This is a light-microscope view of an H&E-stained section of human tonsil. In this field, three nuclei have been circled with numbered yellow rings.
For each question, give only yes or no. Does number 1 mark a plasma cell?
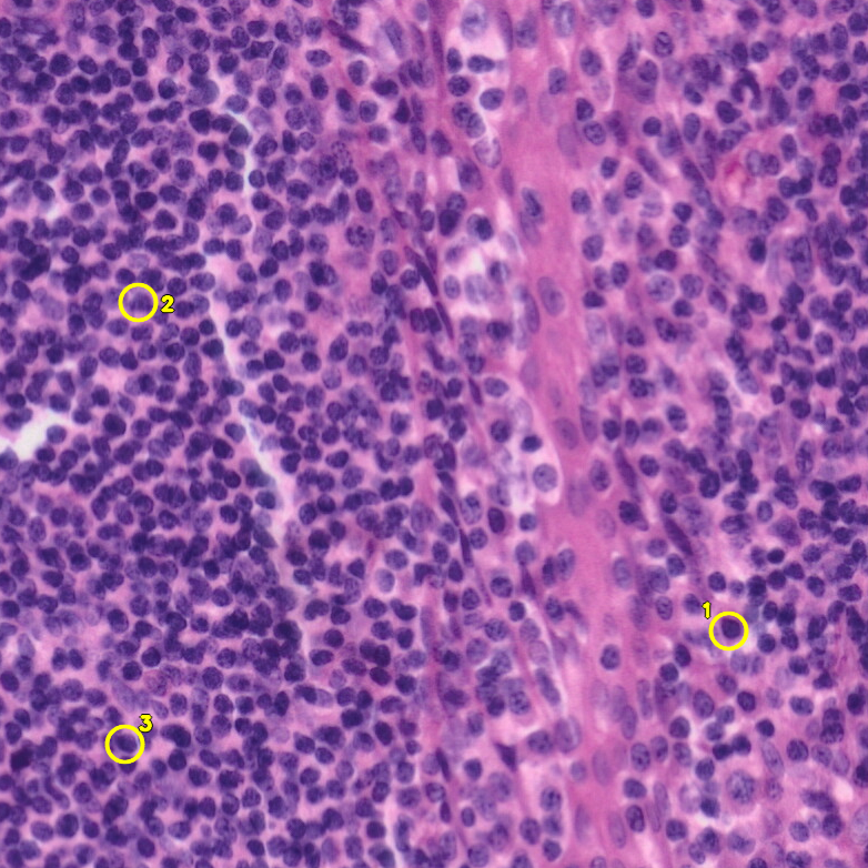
yes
